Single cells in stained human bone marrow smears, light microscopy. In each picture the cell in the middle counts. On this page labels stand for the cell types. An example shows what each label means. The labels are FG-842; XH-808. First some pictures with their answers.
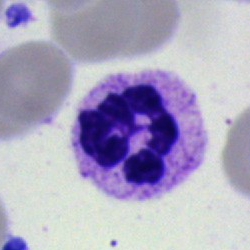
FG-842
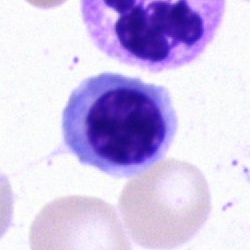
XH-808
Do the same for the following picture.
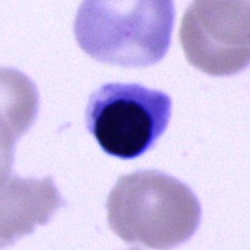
XH-808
